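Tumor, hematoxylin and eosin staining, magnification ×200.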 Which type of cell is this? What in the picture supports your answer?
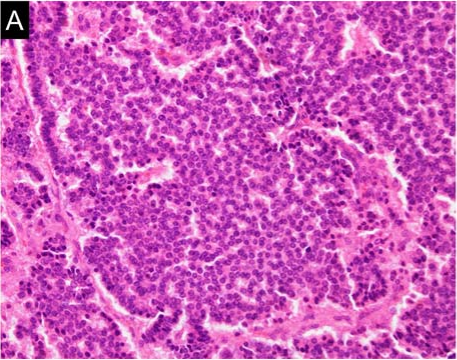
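Cells are small with uniform round dark nuclei. Cells are densely packed with scant cytoplasm. That points to this answer: small, round cells.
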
